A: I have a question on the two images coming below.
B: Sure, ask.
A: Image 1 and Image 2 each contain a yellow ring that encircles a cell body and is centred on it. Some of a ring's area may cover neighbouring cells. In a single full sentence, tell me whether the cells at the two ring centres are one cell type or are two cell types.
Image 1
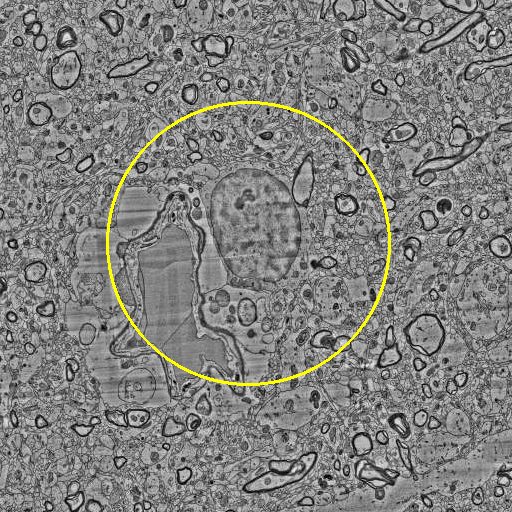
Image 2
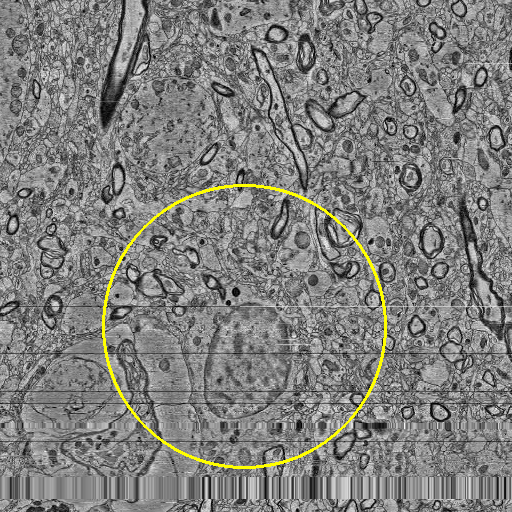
As for the ring-centre cells, the one in Image 1 and the one in Image 2 are one cell type.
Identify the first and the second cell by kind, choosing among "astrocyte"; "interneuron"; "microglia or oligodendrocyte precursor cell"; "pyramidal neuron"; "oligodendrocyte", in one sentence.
In both pictures the ring is centred on an oligodendrocyte.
